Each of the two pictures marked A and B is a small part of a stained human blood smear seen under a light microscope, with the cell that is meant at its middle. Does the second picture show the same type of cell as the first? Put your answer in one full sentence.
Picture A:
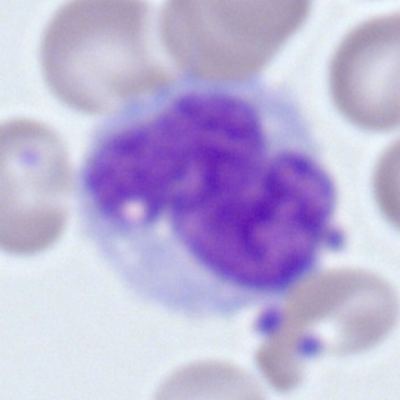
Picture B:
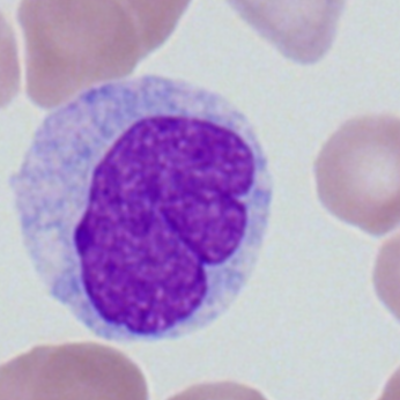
Yes, both cells are monocytes.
